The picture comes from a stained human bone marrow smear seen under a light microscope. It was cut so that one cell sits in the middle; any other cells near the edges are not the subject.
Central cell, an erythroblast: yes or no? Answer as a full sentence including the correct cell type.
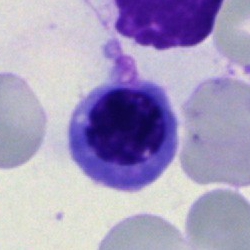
Yes, the cell in the middle of the view is an erythroblast.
